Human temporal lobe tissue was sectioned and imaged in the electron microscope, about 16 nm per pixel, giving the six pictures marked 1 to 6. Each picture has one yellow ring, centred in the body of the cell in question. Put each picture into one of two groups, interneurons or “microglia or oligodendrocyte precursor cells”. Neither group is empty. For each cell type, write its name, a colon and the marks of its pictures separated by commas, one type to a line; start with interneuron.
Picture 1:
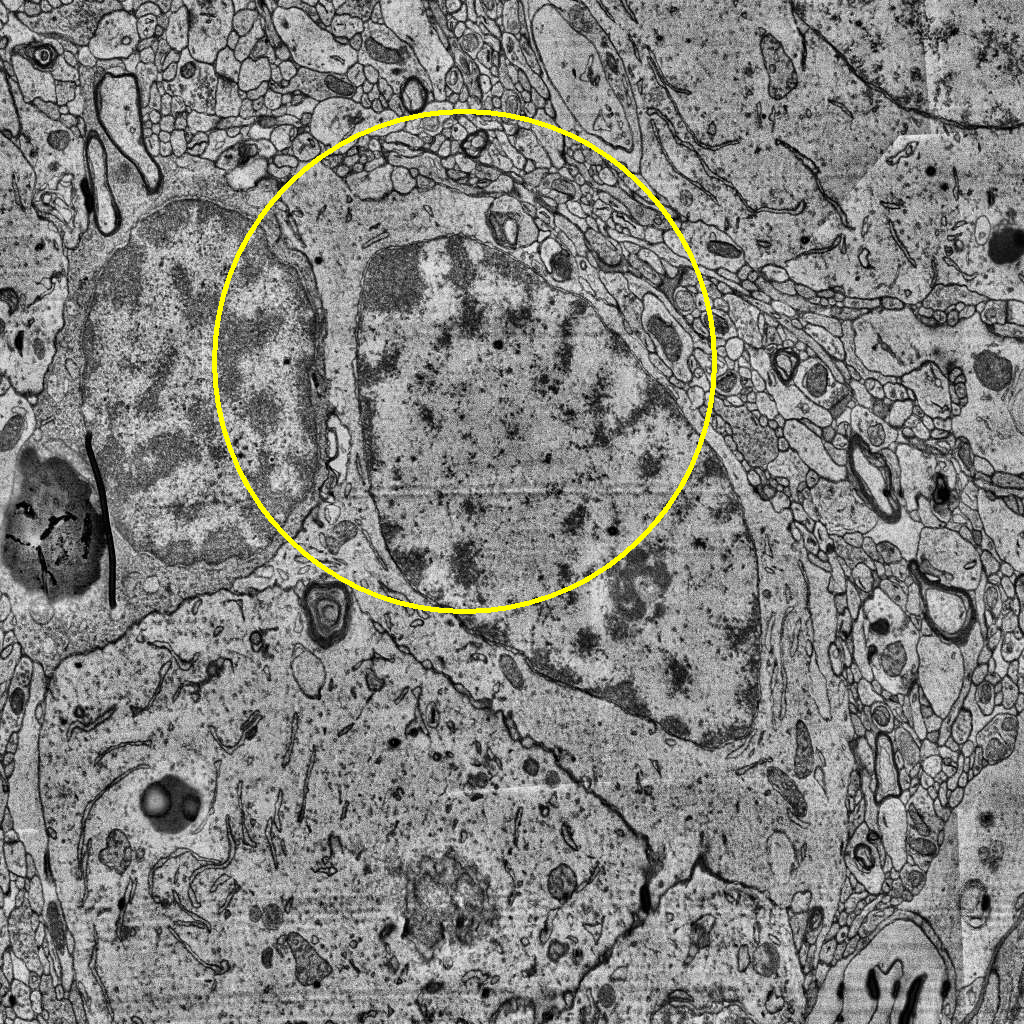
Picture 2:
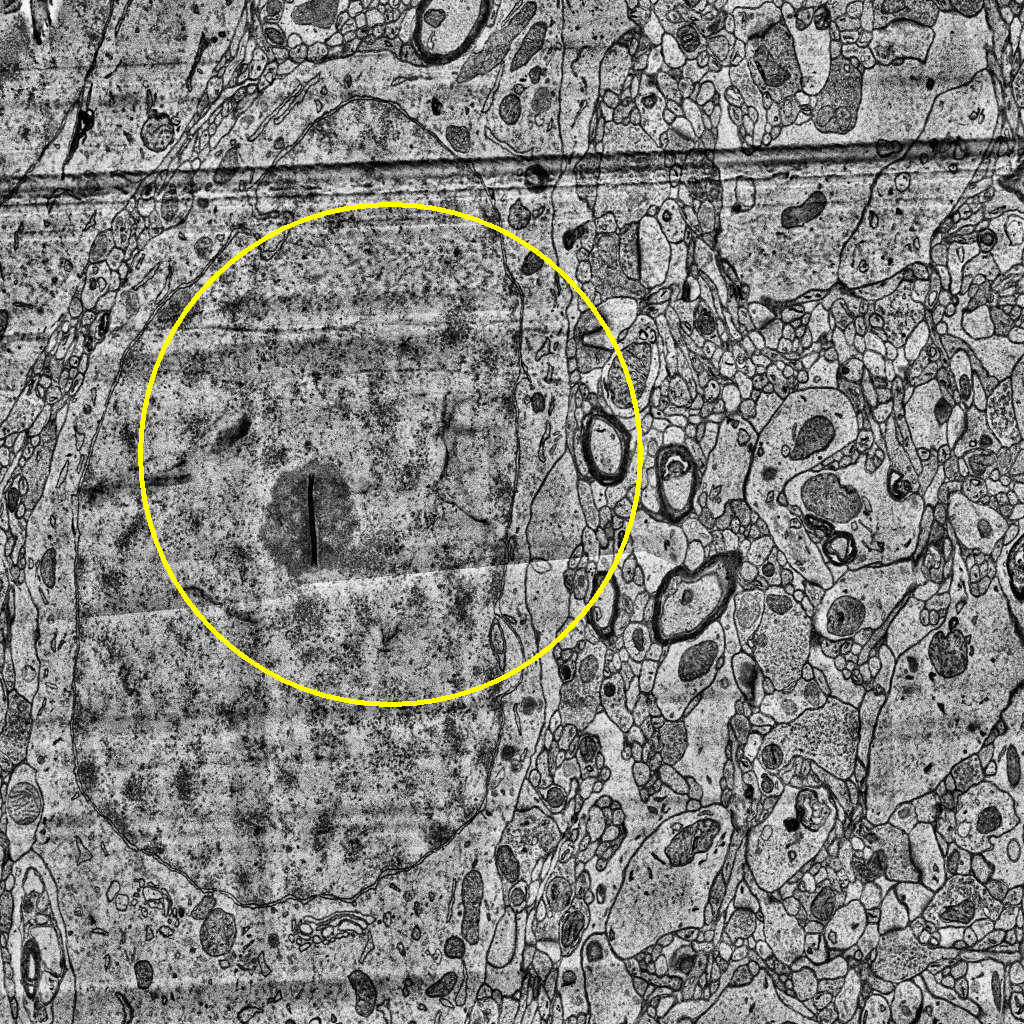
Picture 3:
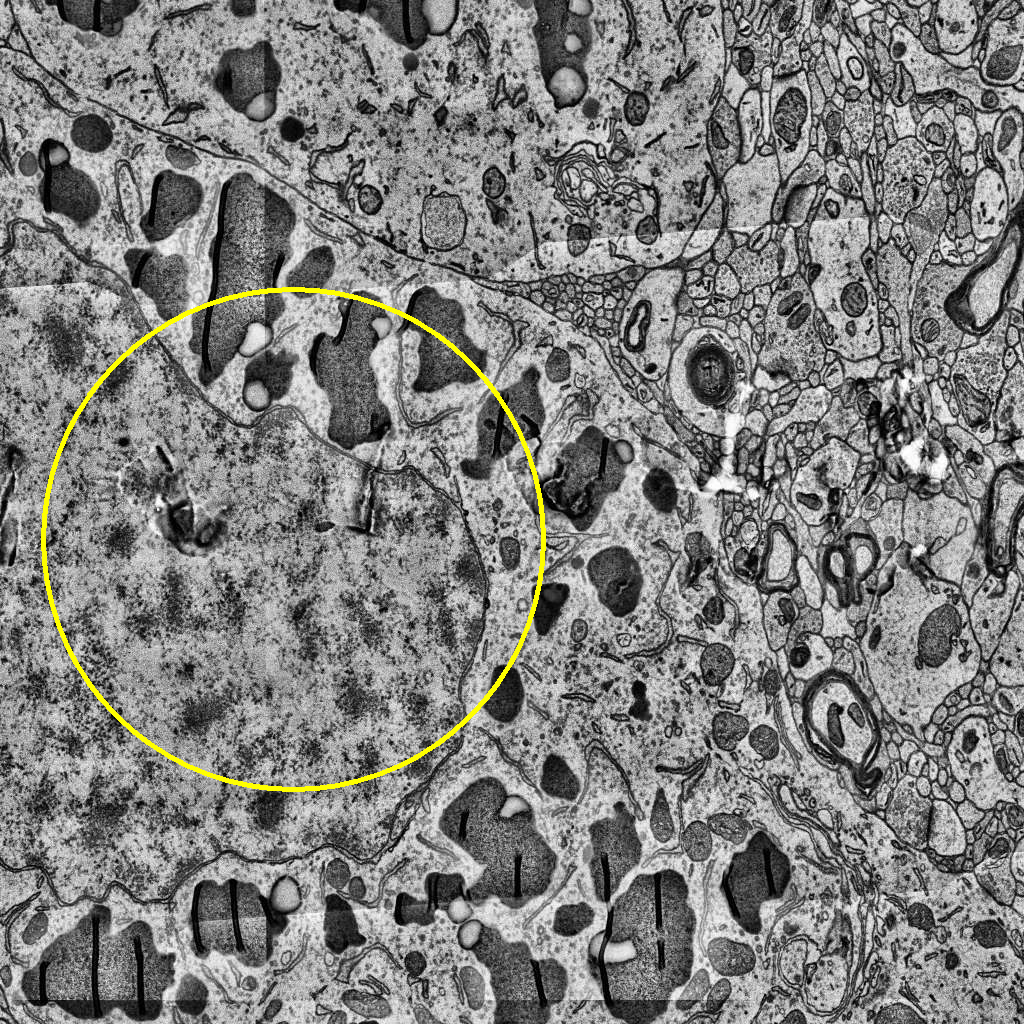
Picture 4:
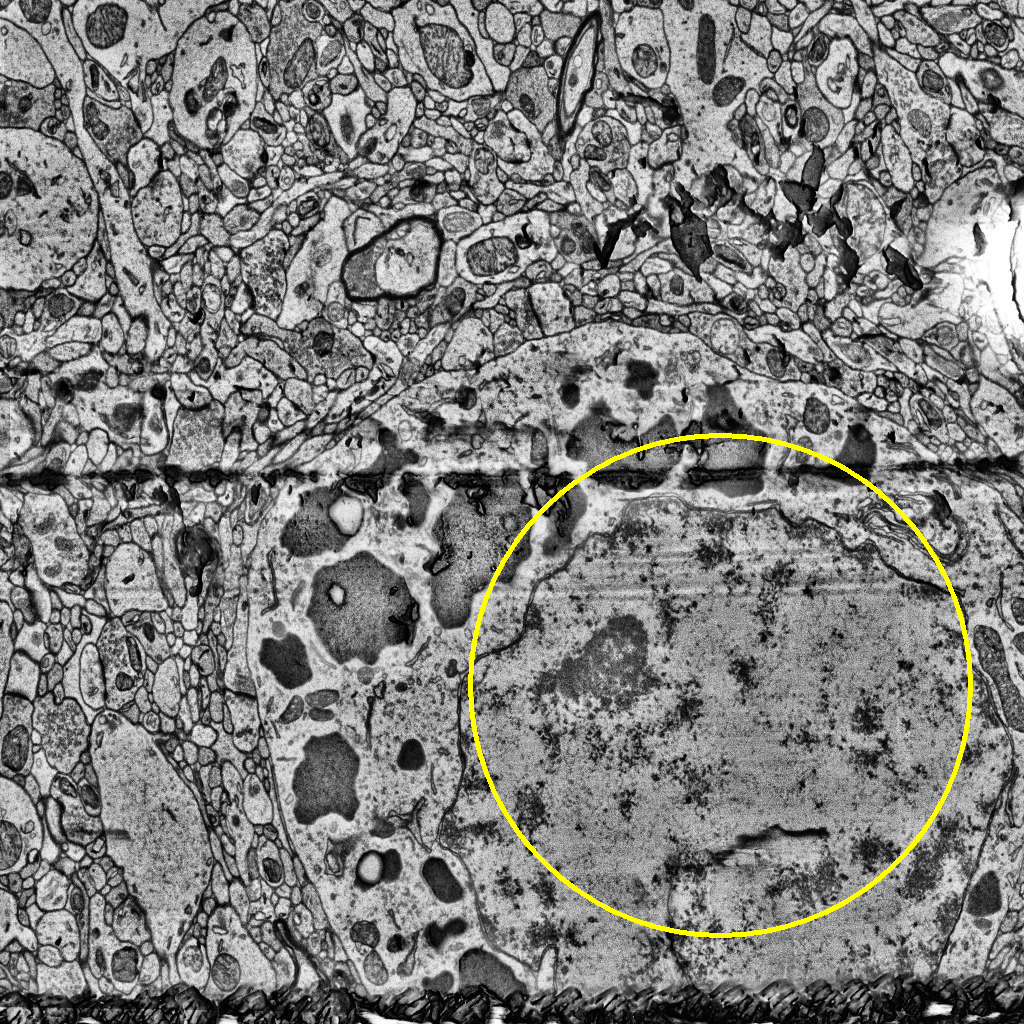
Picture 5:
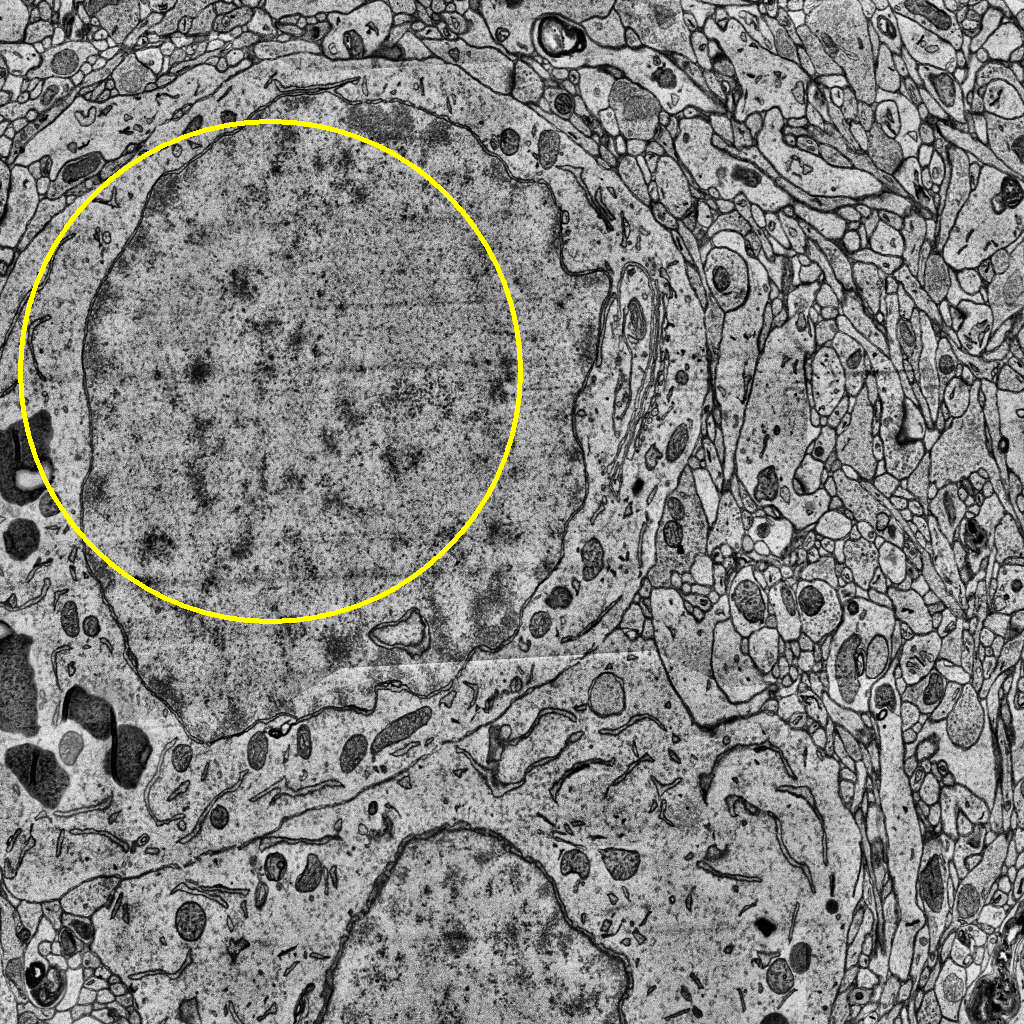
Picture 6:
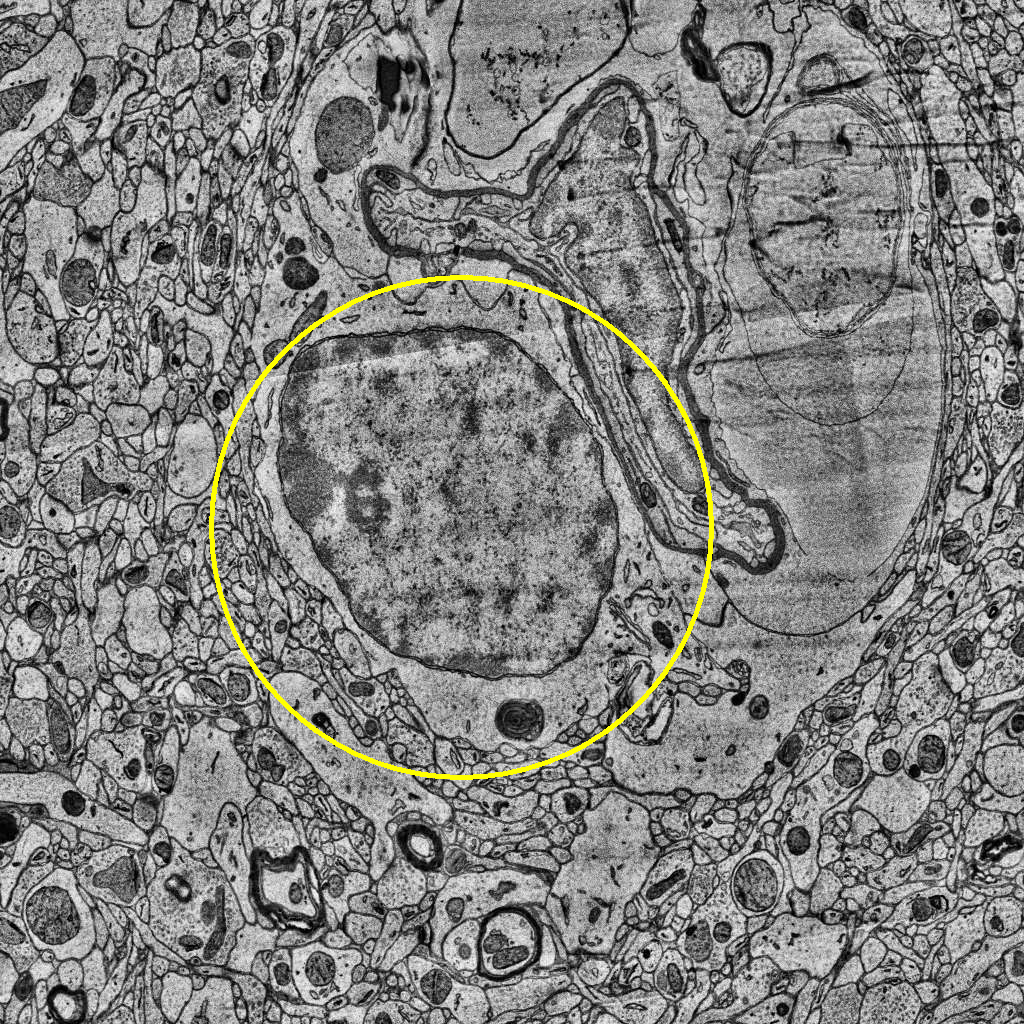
interneuron: 2, 3, 4, 5
microglia or oligodendrocyte precursor cell: 1, 6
